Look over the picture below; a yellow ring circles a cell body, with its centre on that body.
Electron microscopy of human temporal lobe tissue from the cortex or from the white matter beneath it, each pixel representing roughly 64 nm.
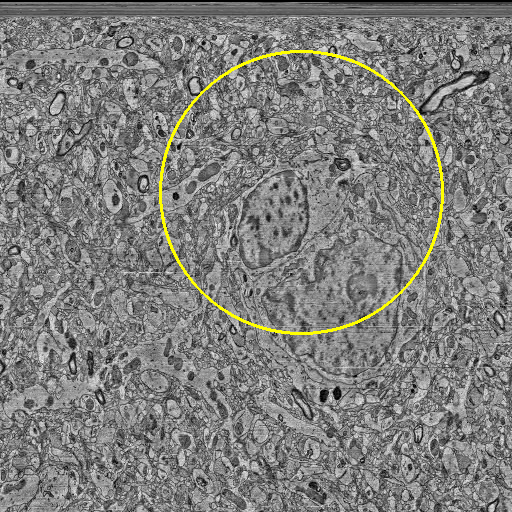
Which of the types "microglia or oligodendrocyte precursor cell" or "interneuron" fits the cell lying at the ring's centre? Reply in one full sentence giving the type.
The picture shows a microglial cell or oligodendrocyte precursor cell at the centre of the yellow ring.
